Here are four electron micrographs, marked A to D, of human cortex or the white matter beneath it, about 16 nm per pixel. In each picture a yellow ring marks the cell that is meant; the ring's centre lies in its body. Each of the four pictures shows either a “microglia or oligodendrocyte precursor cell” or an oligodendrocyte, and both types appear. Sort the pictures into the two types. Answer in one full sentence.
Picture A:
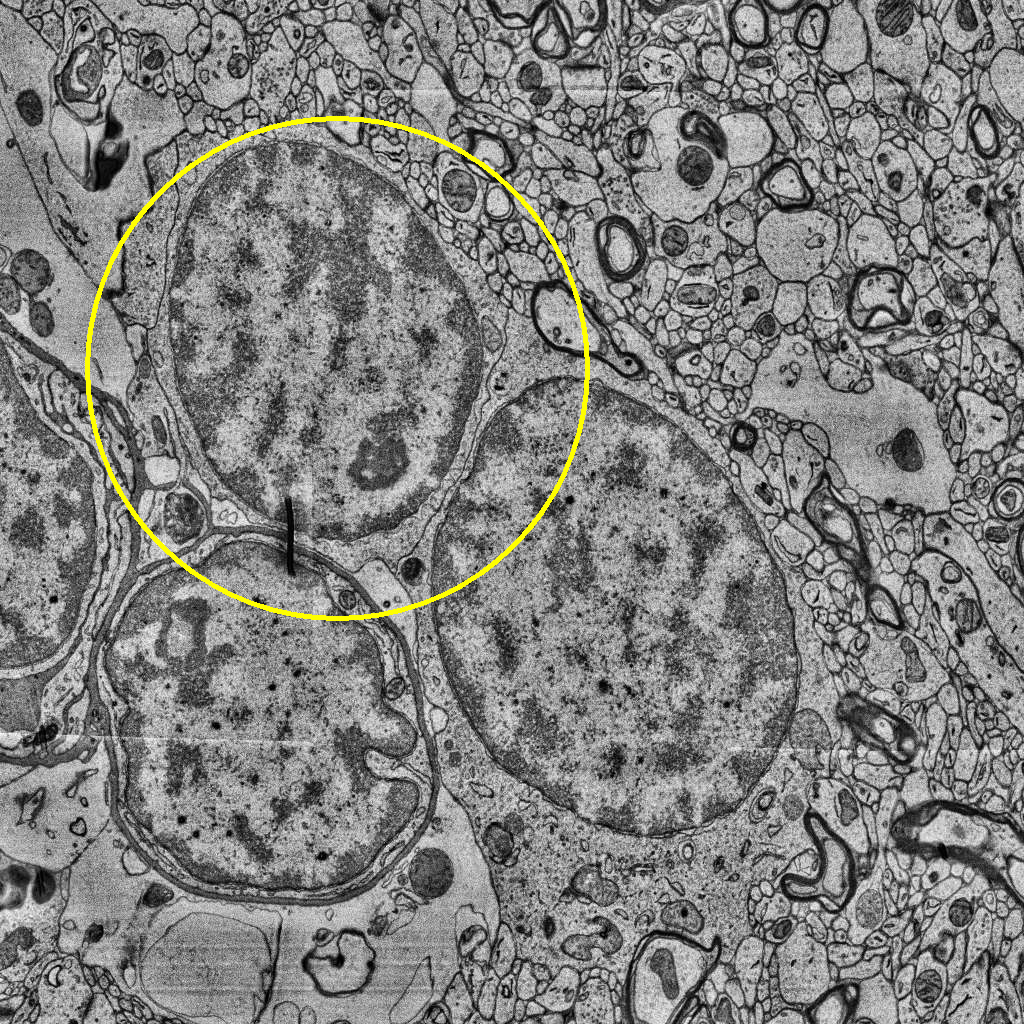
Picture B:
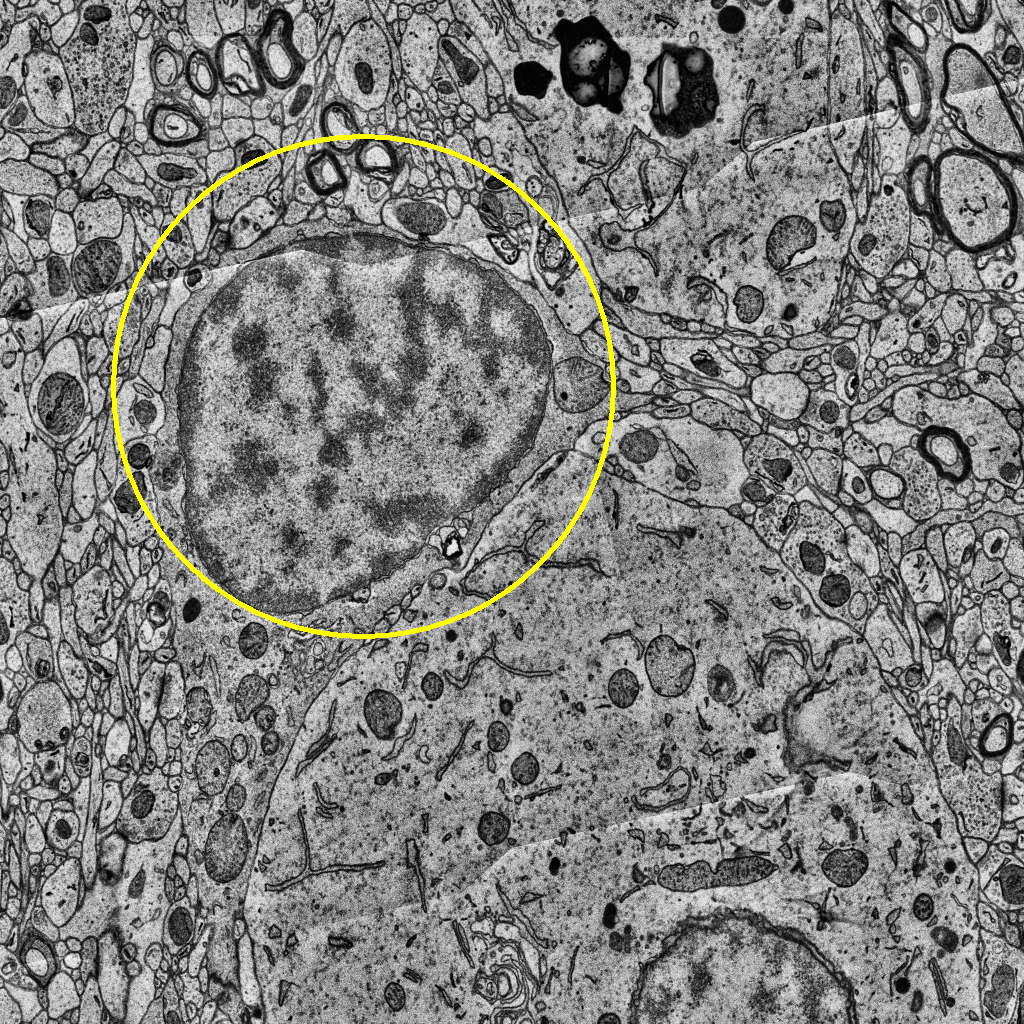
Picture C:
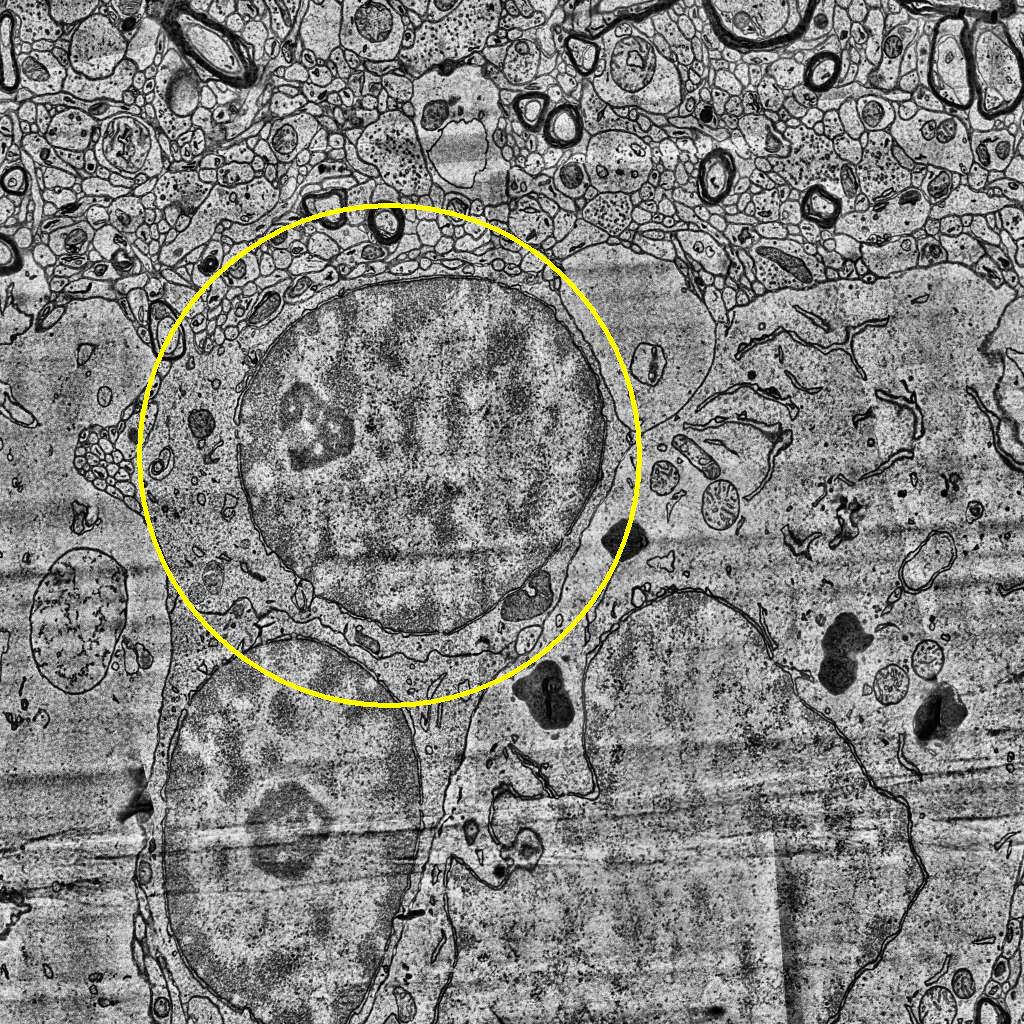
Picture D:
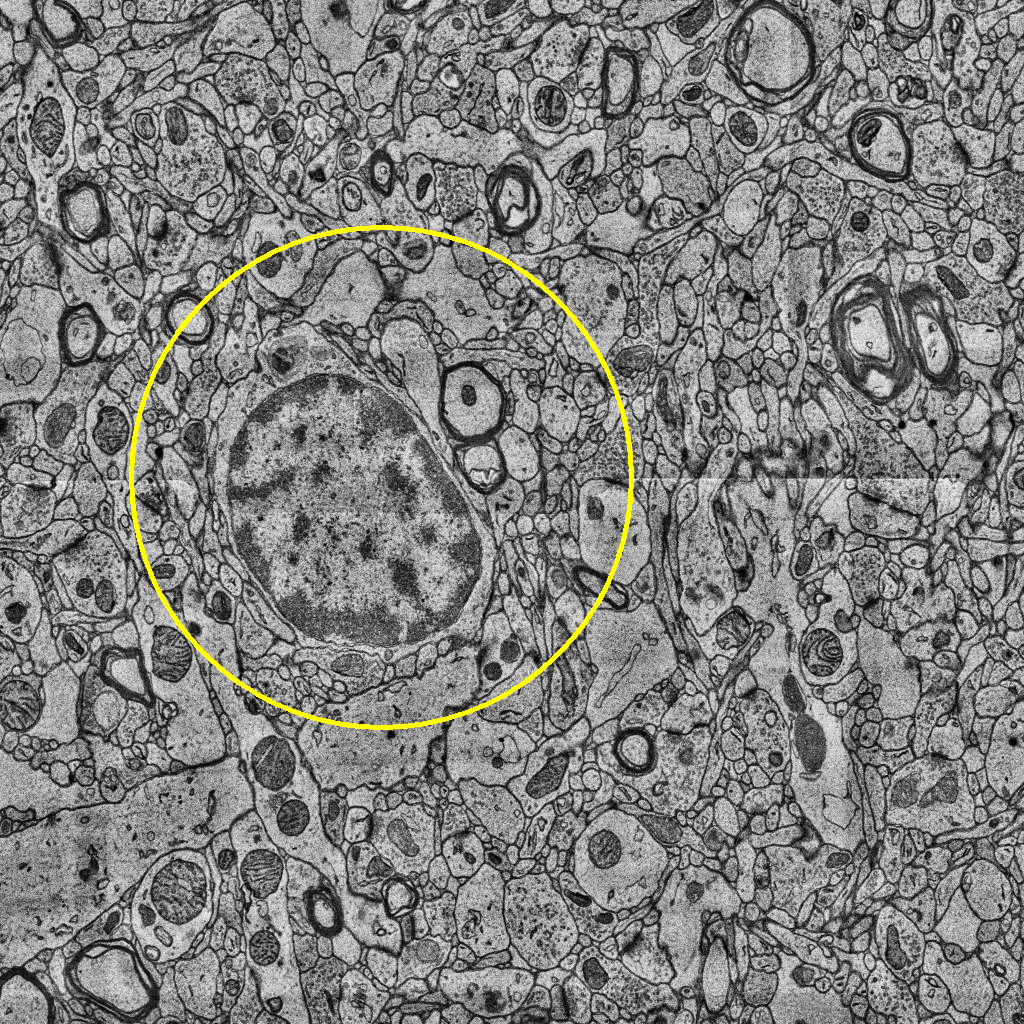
Picture D shows a “microglia or oligodendrocyte precursor cell”, and pictures A, B and C show oligodendrocytes.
